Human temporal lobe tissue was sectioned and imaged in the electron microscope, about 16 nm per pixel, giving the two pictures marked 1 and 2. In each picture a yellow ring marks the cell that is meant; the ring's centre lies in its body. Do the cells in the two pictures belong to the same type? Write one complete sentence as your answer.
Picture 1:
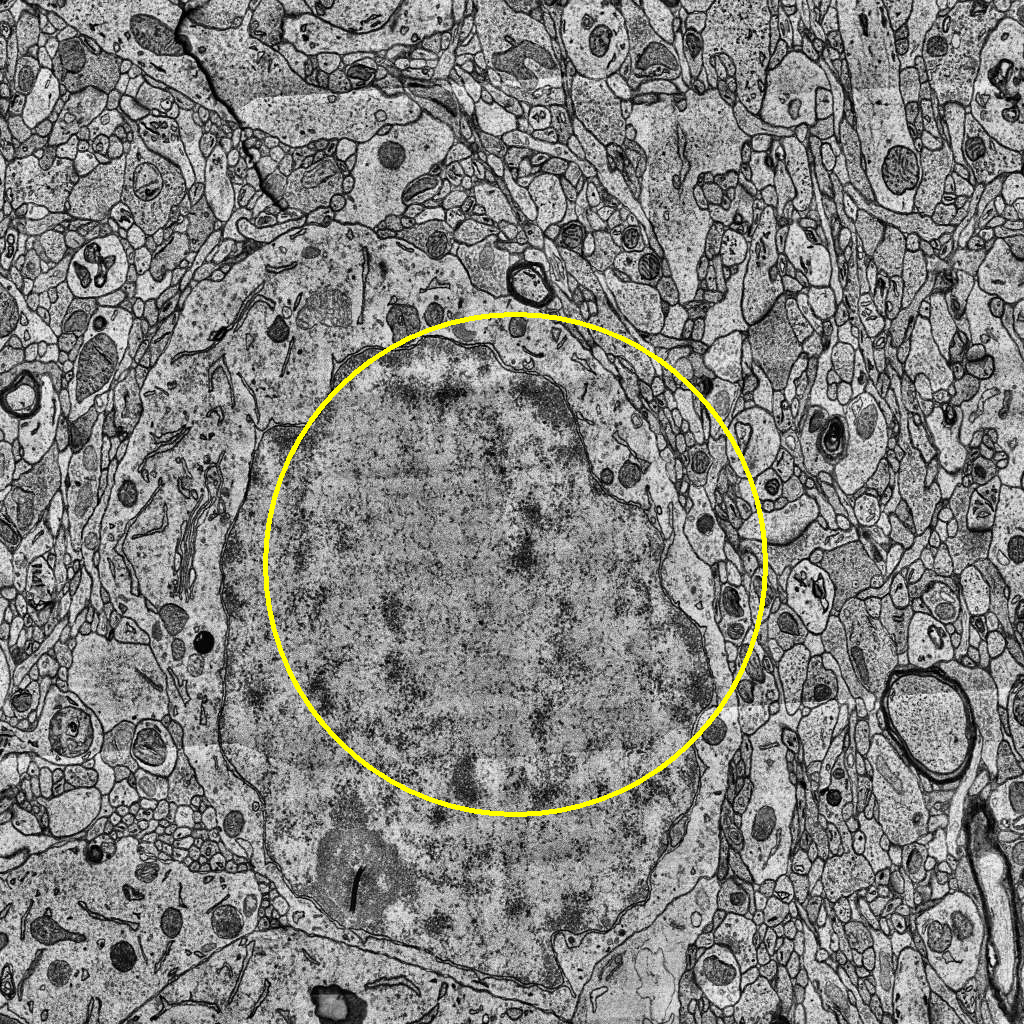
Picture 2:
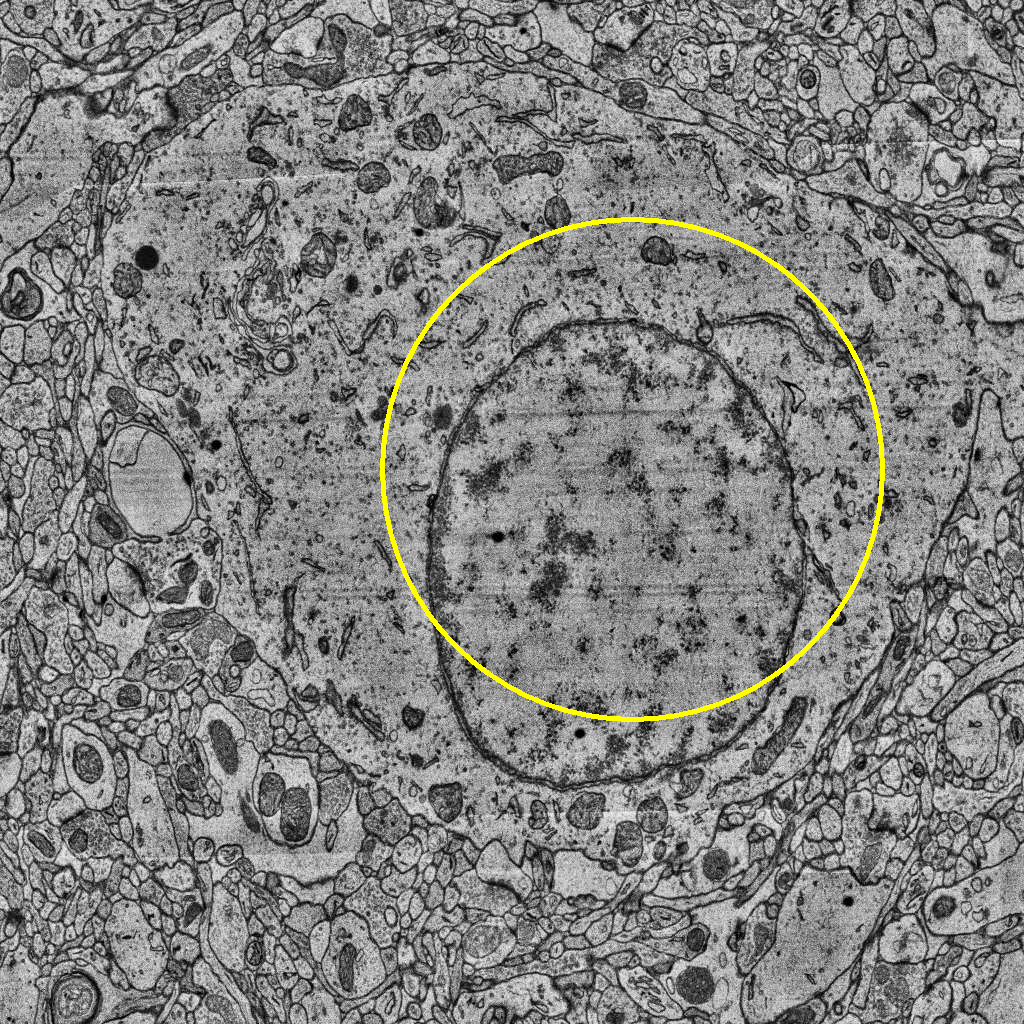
No. Picture 1 shows an interneuron, but picture 2 shows a pyramidal neuron.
